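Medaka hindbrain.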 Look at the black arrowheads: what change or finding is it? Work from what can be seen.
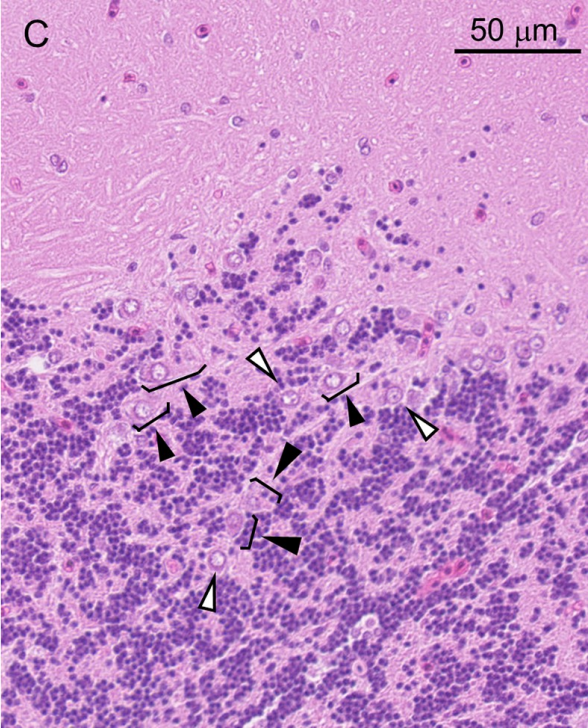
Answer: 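Spindle-shaped (tear-shaped). The cells marked by black arrowheads and brackets have elongated, tapering cell bodies.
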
